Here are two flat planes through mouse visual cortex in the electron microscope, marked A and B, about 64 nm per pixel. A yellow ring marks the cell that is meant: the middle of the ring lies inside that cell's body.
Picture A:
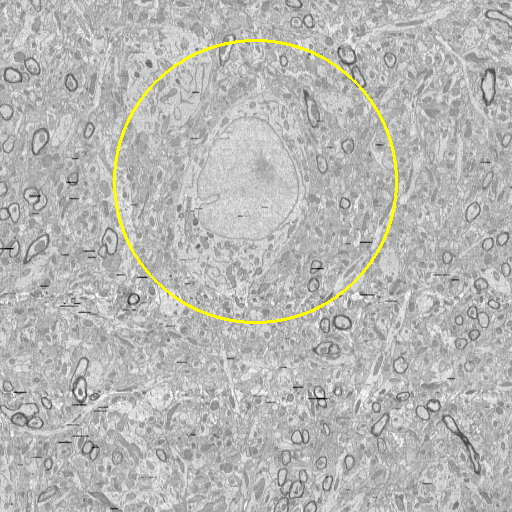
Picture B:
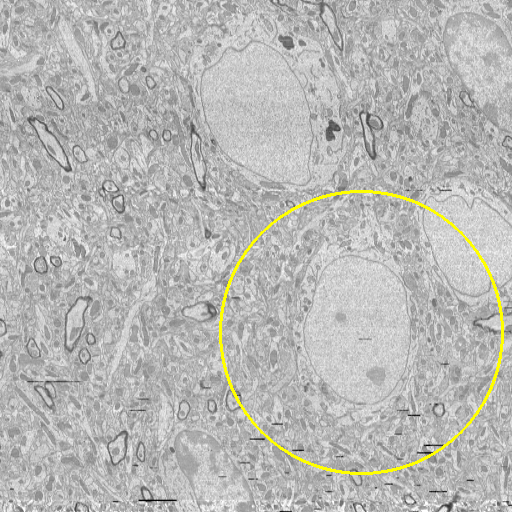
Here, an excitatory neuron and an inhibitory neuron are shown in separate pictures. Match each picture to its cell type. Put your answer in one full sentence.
Picture A shows an inhibitory neuron and picture B shows an excitatory neuron.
